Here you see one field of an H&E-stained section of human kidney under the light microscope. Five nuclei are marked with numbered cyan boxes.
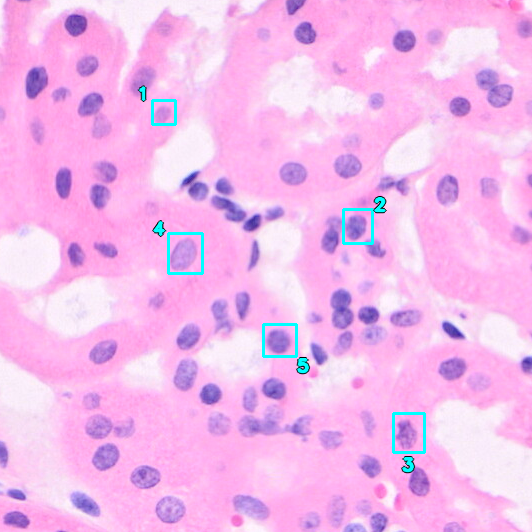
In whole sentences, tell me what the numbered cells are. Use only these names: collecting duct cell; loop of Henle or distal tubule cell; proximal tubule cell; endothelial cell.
Cells 1, 3 and 4 are proximal tubule cells. Cells 2 and 5 are collecting duct cells.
